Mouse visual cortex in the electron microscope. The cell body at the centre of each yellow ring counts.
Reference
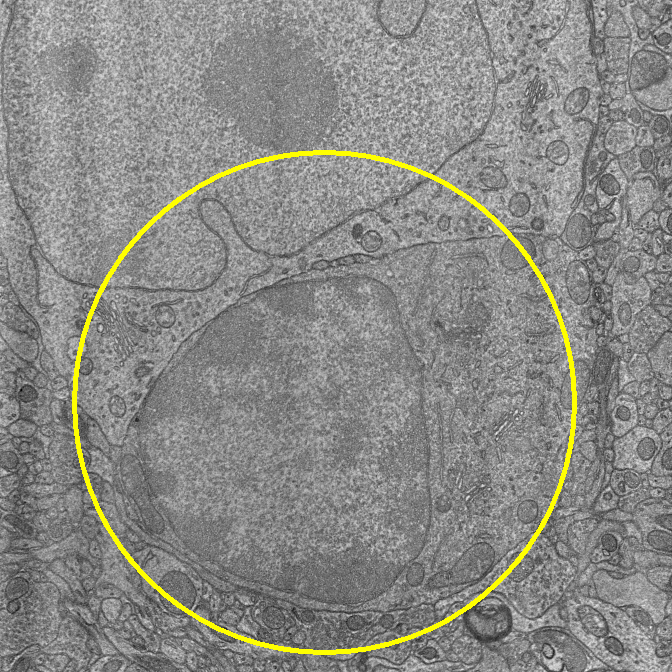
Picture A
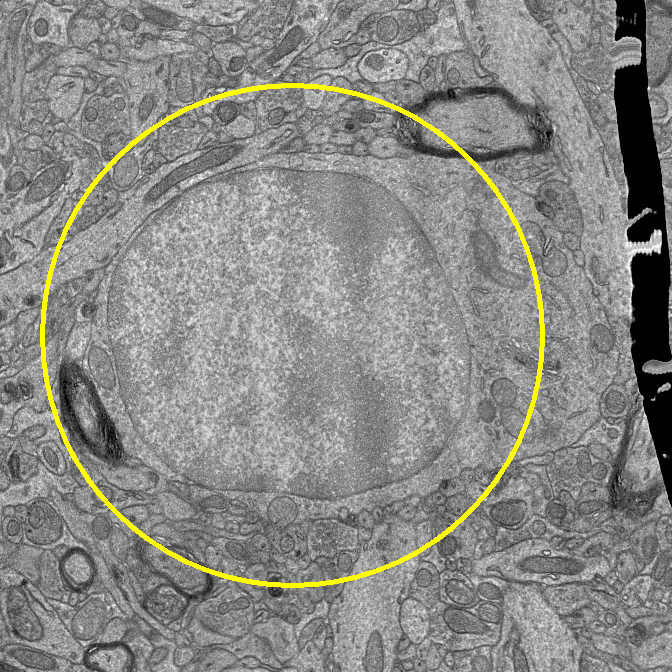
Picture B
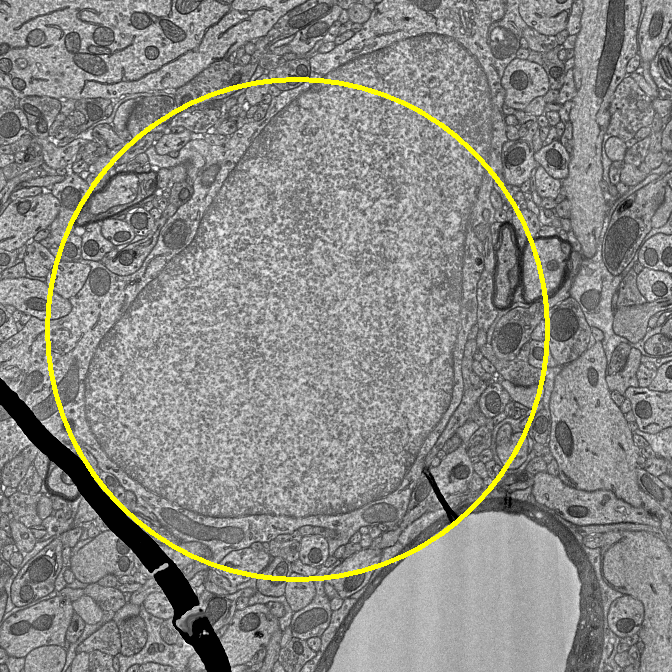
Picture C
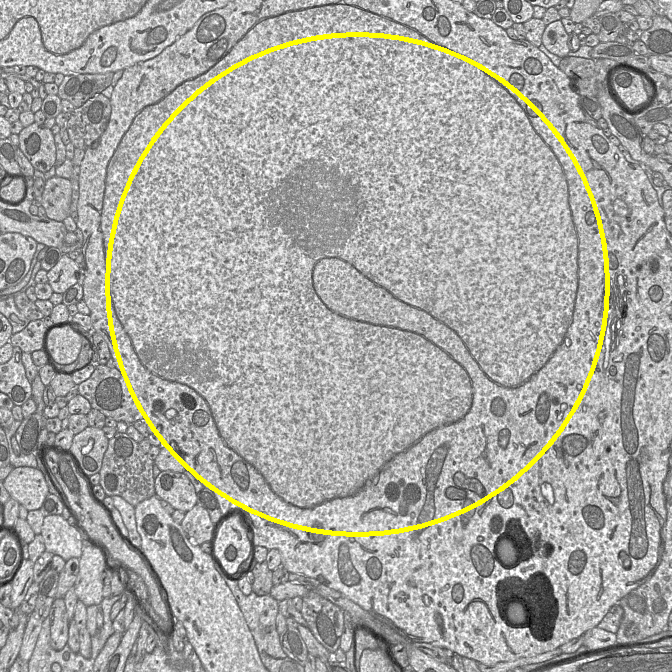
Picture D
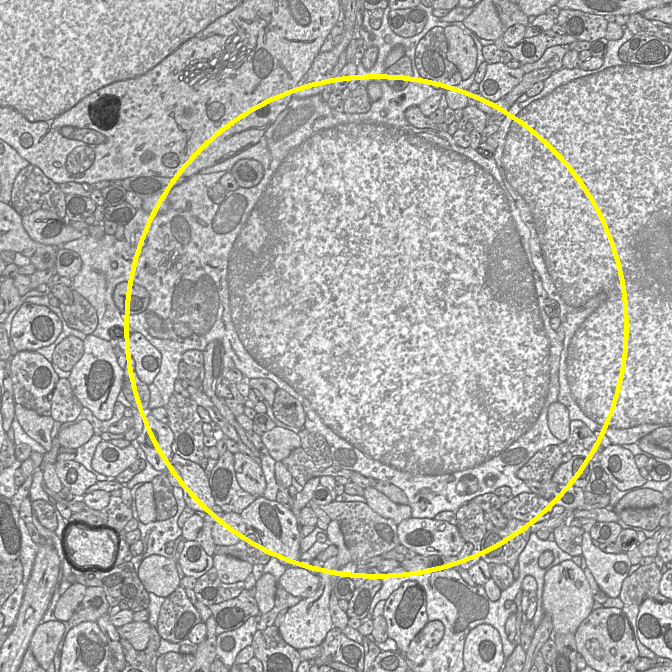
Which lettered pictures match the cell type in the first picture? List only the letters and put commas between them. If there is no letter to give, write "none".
A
